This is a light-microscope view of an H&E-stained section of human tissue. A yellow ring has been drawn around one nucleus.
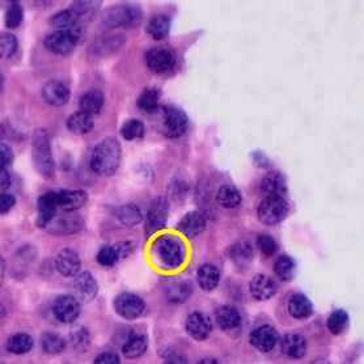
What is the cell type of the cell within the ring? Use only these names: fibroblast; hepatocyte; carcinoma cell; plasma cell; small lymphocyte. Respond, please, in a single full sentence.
It is as a plasma cell that the cell within the ring is classified.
